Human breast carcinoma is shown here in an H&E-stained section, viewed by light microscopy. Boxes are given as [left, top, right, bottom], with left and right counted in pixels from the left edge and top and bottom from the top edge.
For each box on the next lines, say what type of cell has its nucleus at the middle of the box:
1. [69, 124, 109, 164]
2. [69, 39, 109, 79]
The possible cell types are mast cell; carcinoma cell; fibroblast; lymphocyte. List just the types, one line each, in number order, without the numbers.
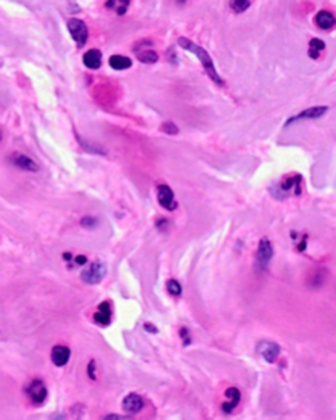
fibroblast
lymphocyte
